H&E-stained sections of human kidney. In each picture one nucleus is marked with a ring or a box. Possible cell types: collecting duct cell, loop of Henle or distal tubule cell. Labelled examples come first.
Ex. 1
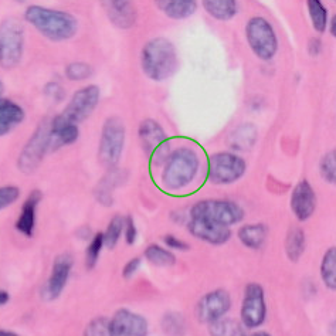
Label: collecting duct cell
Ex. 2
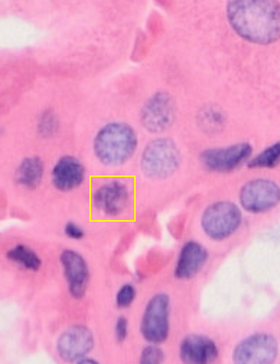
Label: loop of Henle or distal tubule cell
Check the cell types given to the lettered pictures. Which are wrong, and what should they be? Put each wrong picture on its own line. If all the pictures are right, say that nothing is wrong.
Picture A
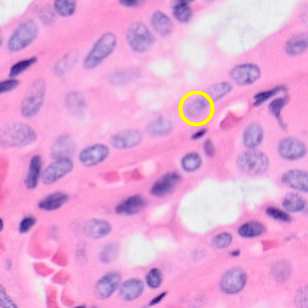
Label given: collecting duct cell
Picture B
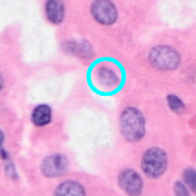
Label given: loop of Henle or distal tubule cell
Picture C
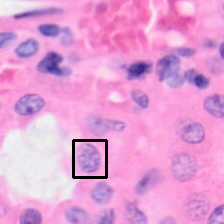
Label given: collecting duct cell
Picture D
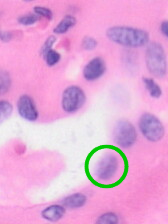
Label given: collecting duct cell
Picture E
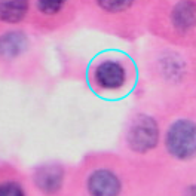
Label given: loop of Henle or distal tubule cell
Wrong: C (collecting duct cell); correct: loop of Henle or distal tubule cell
